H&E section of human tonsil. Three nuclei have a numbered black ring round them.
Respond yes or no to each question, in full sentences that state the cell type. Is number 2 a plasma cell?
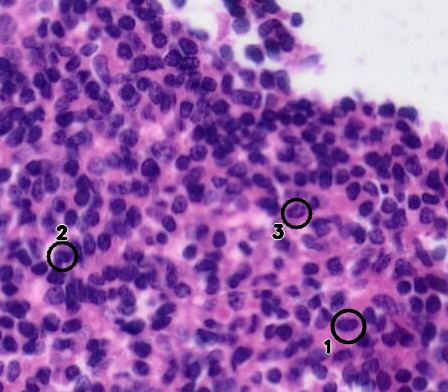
No, the cell carrying number 2 is a small lymphocyte rather than a plasma cell.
